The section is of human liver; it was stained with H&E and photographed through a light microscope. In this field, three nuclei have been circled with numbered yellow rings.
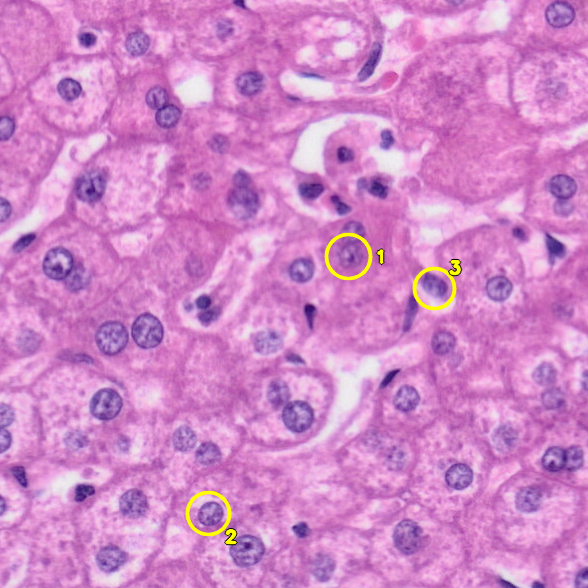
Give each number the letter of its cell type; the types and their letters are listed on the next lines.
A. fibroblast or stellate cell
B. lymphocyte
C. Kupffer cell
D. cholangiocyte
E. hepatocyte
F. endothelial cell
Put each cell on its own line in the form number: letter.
1: E
2: E
3: C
